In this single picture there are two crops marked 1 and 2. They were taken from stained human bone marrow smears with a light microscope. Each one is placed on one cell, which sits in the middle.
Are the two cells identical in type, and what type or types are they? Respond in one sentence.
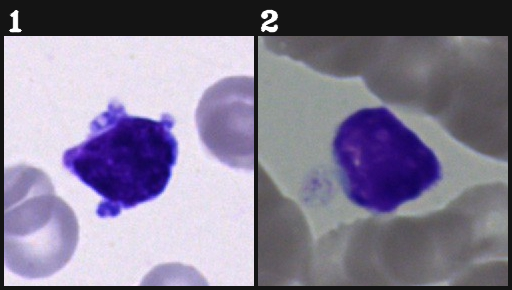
No, crop 1 shows a blast and crop 2 shows a lymphocyte.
